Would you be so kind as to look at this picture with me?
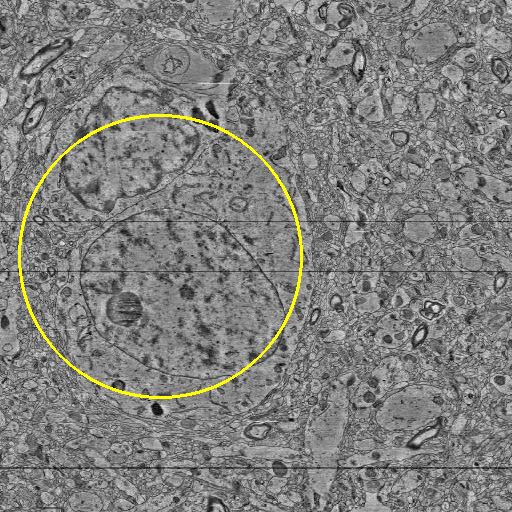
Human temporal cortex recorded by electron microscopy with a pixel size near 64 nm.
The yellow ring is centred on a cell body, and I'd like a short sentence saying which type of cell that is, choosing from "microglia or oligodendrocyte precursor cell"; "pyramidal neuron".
The cell body in the ring belongs to a pyramidal neuron.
